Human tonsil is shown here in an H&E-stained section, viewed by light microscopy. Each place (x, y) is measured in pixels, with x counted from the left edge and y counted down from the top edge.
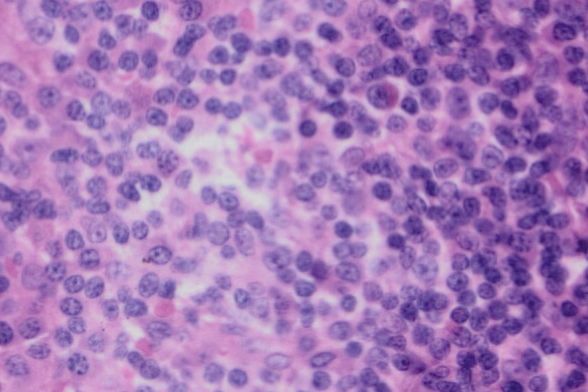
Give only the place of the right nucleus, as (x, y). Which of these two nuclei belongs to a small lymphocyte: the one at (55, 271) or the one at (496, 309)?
(496, 309)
